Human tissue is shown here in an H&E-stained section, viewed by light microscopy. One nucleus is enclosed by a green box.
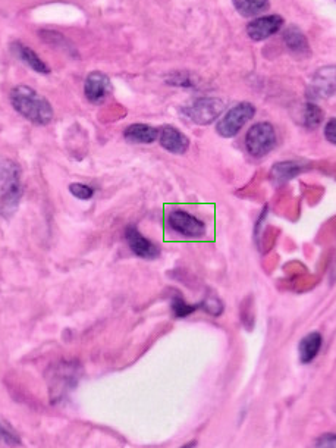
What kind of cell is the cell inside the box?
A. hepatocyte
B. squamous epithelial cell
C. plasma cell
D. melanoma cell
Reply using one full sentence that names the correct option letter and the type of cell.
Since the cell inside the box is a plasma cell, the right option is C.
